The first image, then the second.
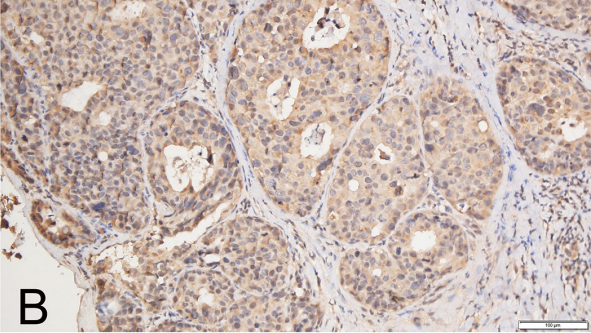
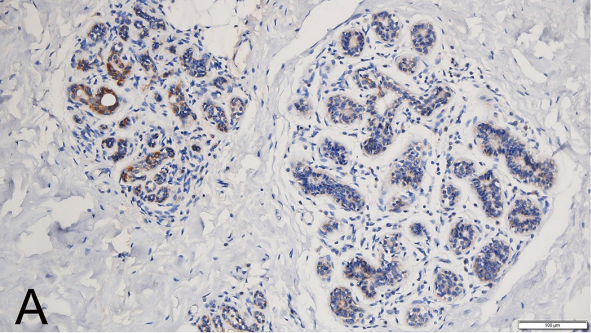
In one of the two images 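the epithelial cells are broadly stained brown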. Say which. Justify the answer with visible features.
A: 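The first image. First image: the crowded epithelial nests are diffusely brown. Second image: most glandular epithelium is blue, with only a few brown acini.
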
